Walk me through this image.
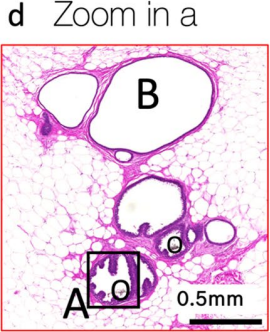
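Several ducts of breast tissue lie embedded in fat, whose cells appear as pale empty polygonal spaces framed by thin pink lines. At the top a large duct with a very wide empty lumen and a thin pink wall dominates the field. Below it are smaller ducts with pink walls, and at the lower left a small duct has a purple-lined epithelium with folds projecting into its lumen. Bands of pink connective tissue surround the ducts.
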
